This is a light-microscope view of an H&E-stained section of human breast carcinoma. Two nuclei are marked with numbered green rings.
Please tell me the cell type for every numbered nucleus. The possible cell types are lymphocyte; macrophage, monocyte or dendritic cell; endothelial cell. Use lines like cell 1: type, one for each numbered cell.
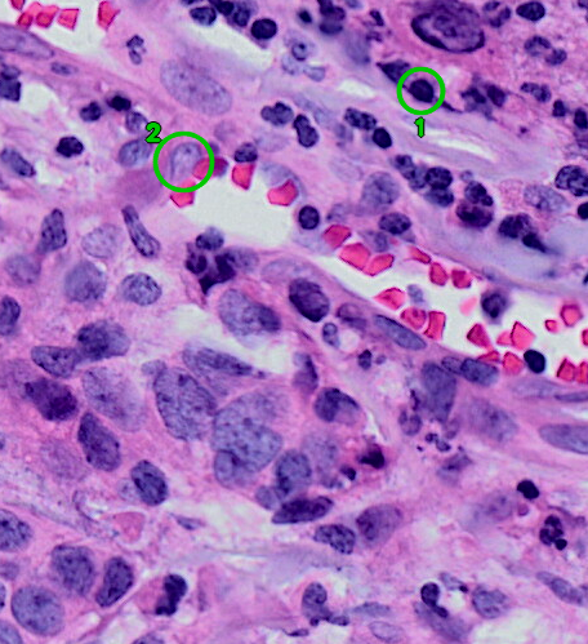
cell 1: lymphocyte
cell 2: endothelial cell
